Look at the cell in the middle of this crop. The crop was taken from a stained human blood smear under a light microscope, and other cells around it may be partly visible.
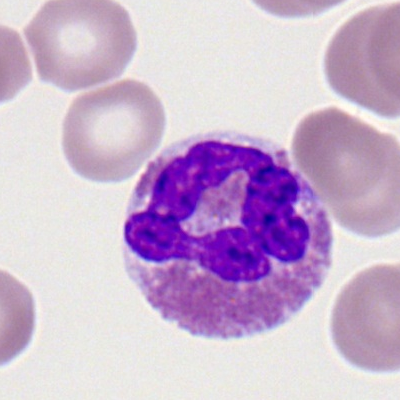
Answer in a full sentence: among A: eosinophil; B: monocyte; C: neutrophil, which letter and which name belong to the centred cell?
That the central cell is an eosinophil makes option A correct.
